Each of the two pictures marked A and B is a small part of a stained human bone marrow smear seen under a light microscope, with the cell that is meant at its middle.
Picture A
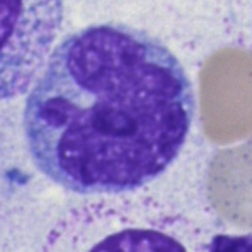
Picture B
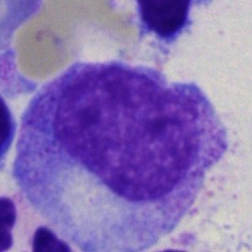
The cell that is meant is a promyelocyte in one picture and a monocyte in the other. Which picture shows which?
A: monocyte
B: promyelocyte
